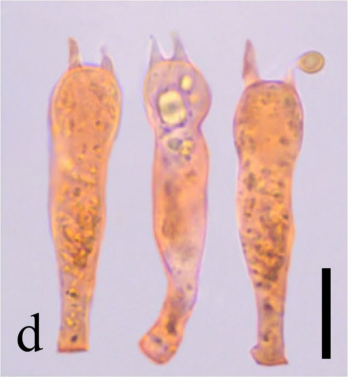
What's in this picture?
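Three basidia of a mushroom are shown side by side, each an elongated club-shaped cell that is narrow at the base and broadest near the apex. The cells are stained orange to pinkish and their cytoplasm contains scattered granules and droplets, with larger clear vacuole-like inclusions in the middle cell. At the apex of each basidium stand slender, pointed projections. A small rounded spore is still attached at the tip of the right-hand cell. The bases are narrow and slightly bent or tapered.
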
